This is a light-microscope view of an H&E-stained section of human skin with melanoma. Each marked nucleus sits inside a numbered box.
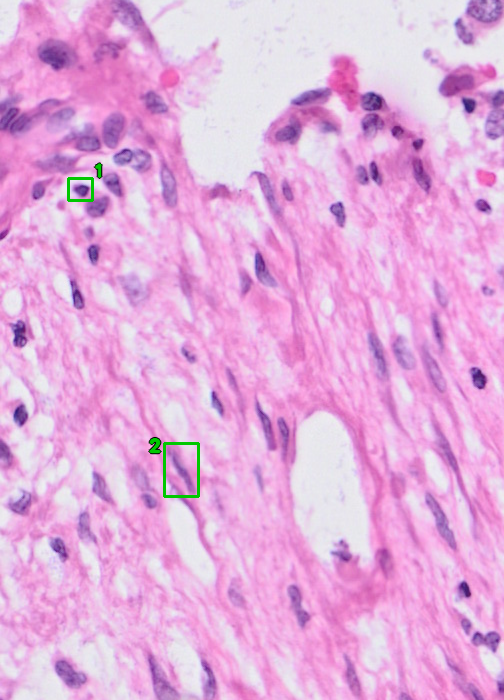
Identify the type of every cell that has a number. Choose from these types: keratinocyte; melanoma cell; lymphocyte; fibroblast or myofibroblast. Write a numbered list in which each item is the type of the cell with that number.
1. lymphocyte
2. fibroblast or myofibroblast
